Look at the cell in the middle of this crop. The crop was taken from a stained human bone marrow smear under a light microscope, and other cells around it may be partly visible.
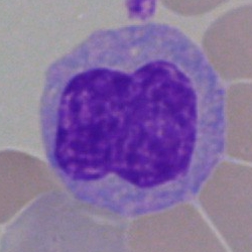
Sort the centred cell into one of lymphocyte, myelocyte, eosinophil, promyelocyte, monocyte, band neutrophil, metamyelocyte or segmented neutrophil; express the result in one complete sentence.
The cell shown in the center of this light-microscope crop is a monocyte.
